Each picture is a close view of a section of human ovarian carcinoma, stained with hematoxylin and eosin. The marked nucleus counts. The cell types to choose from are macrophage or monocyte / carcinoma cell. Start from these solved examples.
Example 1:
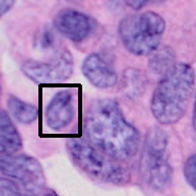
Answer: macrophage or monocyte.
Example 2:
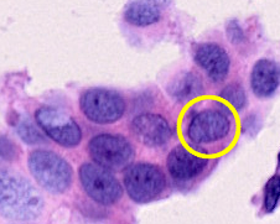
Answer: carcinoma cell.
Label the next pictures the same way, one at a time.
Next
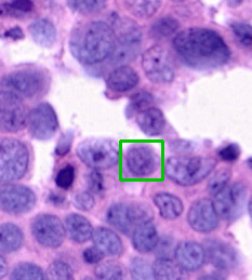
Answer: carcinoma cell.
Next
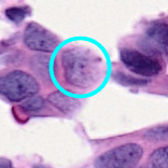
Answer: carcinoma cell.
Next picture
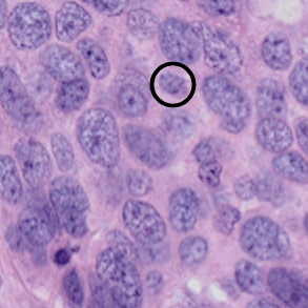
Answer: macrophage or monocyte.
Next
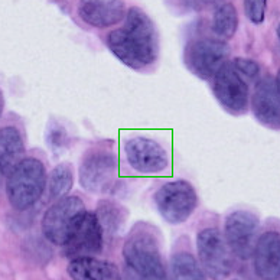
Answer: macrophage or monocyte.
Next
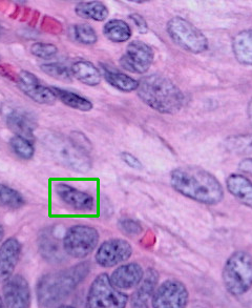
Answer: macrophage or monocyte.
